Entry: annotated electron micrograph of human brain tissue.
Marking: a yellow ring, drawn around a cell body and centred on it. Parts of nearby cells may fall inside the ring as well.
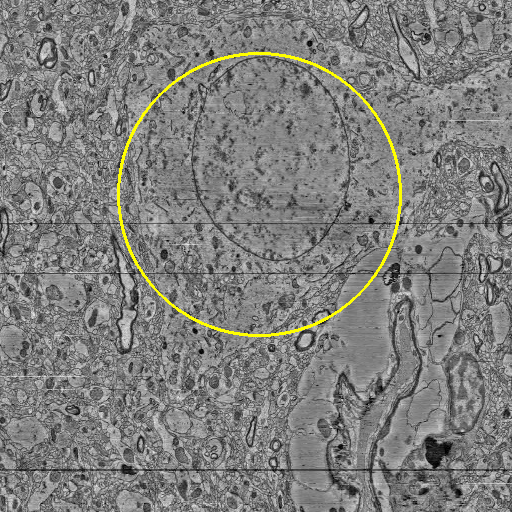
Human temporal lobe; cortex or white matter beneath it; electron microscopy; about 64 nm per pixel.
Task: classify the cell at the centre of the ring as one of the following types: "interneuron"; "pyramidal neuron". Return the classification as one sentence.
The marked cell is classified as a pyramidal neuron.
